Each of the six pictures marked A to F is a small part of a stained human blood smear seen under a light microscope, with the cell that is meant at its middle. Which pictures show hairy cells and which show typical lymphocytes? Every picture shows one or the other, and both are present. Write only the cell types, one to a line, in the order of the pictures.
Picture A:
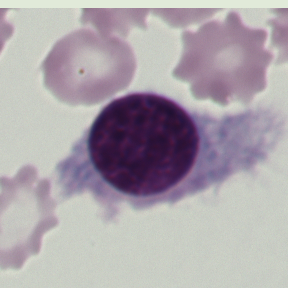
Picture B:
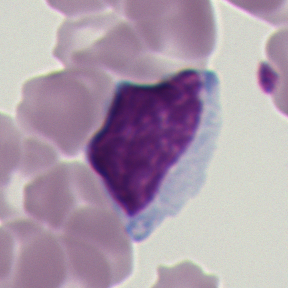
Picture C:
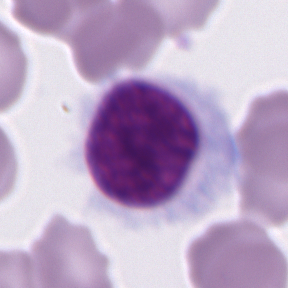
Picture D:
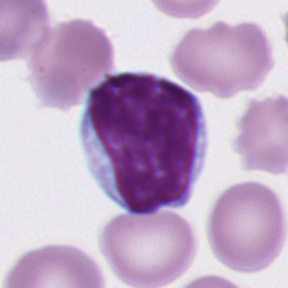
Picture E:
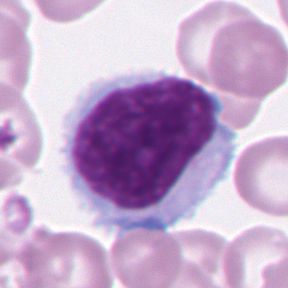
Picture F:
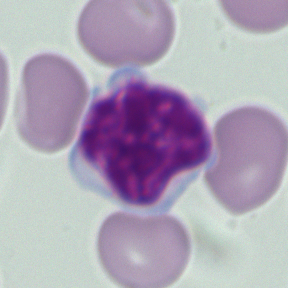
hairy cell
typical lymphocyte
hairy cell
typical lymphocyte
typical lymphocyte
typical lymphocyte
